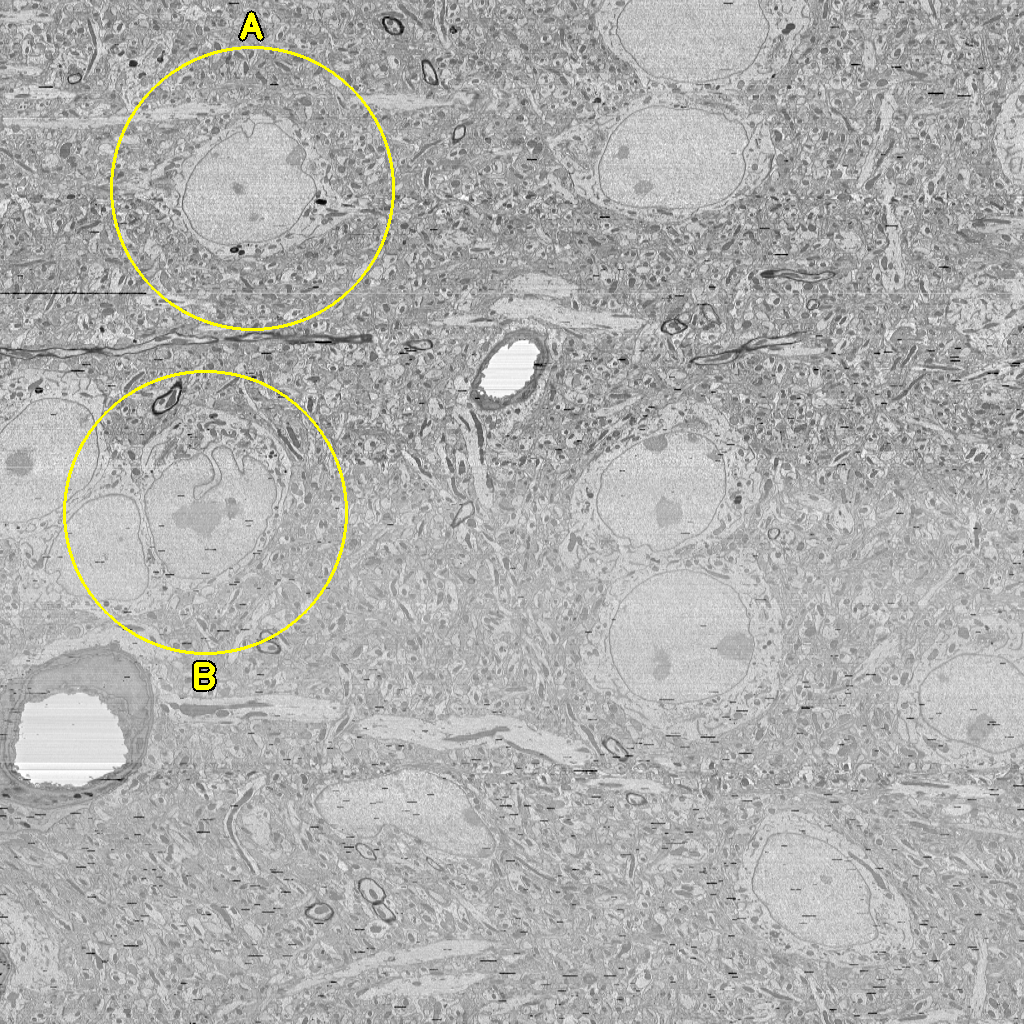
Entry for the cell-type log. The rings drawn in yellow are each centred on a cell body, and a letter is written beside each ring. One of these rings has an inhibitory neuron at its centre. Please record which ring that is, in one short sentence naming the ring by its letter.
Ring B is centred on it.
